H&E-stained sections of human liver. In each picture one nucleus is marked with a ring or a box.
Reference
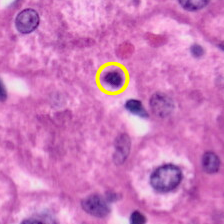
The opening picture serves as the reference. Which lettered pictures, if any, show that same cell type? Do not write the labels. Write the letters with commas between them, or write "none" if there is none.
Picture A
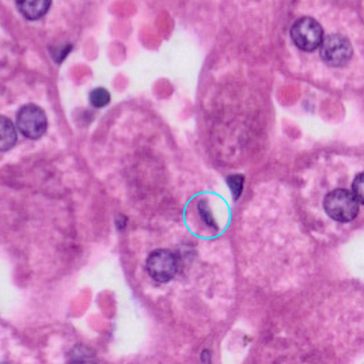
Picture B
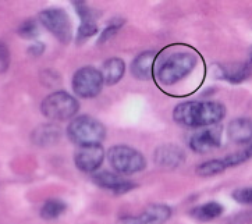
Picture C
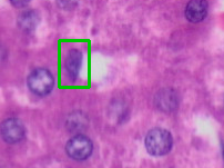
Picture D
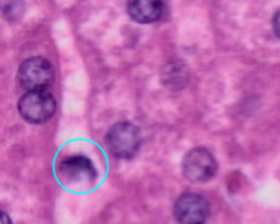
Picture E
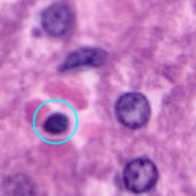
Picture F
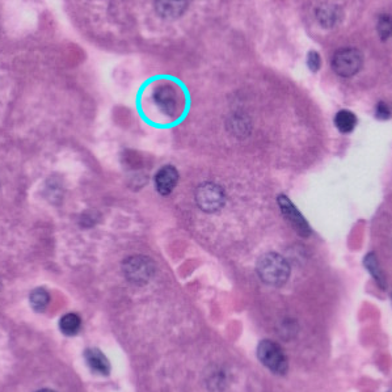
E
